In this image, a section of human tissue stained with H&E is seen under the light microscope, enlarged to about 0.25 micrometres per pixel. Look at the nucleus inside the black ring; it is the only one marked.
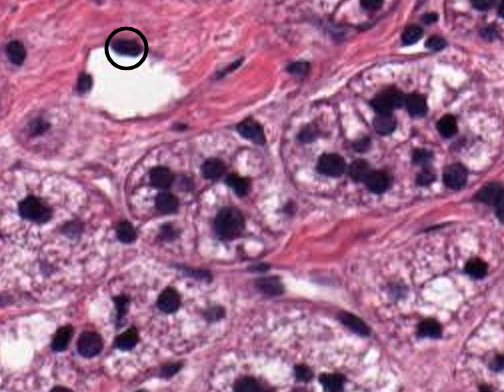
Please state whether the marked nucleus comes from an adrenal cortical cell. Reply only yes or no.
no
